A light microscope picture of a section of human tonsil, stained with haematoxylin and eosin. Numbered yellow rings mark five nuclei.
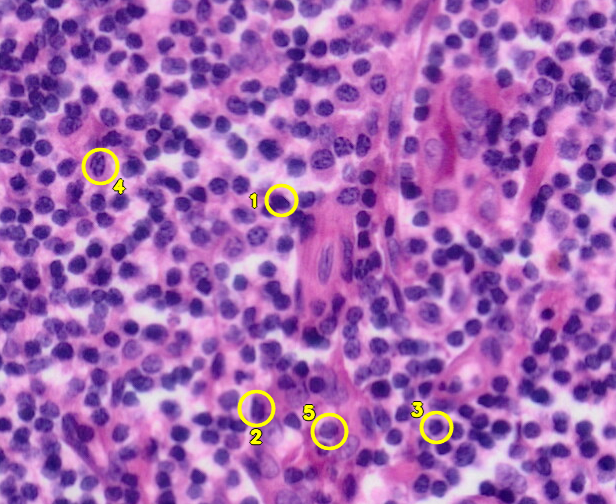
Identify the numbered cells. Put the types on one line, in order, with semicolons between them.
small lymphocyte; endothelial cell; small lymphocyte; plasma cell; endothelial cell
